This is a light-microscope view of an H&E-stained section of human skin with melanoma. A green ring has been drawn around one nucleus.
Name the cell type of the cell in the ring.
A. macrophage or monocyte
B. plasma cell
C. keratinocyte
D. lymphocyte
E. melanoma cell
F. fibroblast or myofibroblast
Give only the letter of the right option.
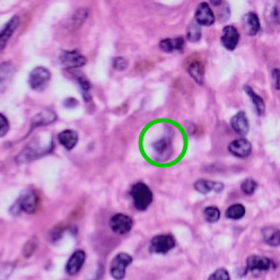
F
